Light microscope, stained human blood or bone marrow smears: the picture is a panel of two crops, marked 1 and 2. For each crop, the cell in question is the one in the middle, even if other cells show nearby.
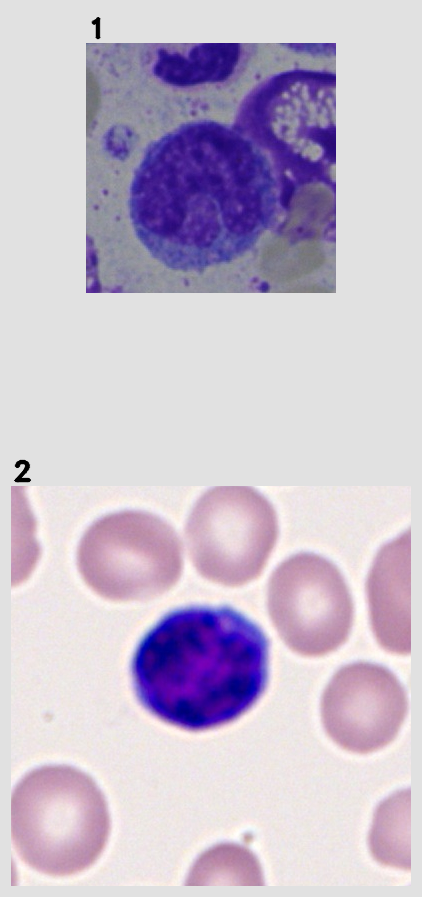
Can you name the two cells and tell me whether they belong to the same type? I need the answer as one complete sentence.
No, a lymphocyte is depicted in crop 2, whereas a monocyte is depicted in crop 1.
